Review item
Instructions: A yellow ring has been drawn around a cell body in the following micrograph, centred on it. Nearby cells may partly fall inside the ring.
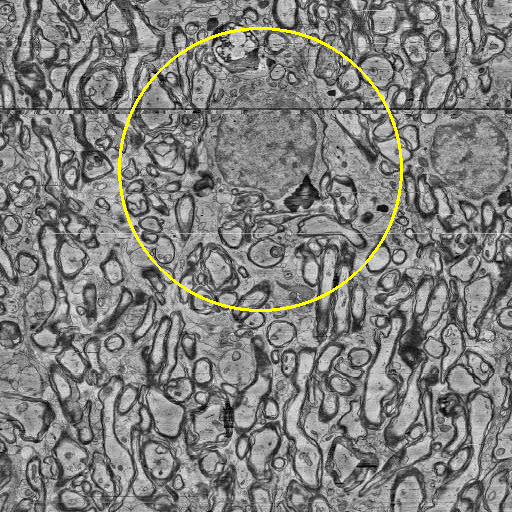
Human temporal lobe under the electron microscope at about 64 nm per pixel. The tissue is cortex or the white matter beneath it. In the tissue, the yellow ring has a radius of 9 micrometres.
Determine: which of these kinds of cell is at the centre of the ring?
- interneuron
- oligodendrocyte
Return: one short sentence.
The cell body in the middle of the ring is that of an oligodendrocyte.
